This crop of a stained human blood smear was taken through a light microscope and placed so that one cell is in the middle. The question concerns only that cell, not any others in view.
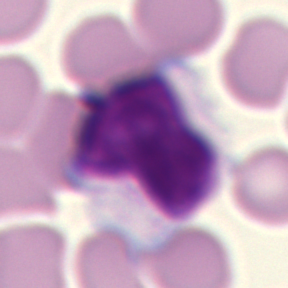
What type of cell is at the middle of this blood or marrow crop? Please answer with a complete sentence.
This particular crop is centered on a typical lymphocyte.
